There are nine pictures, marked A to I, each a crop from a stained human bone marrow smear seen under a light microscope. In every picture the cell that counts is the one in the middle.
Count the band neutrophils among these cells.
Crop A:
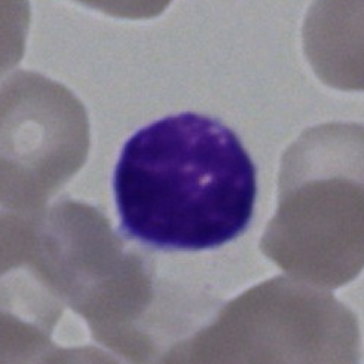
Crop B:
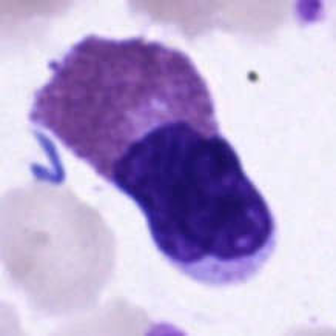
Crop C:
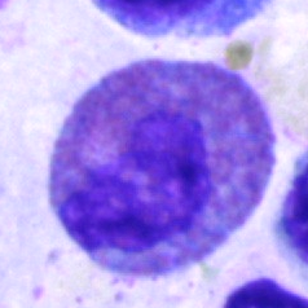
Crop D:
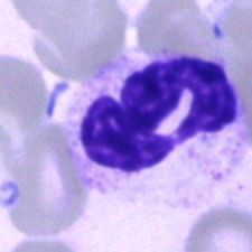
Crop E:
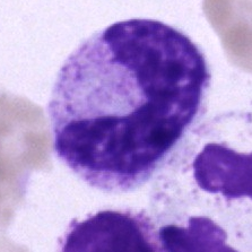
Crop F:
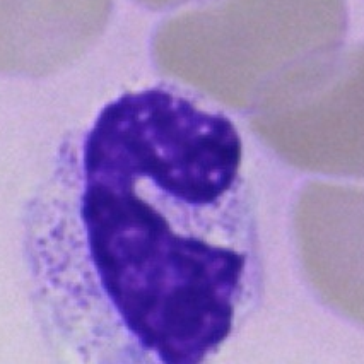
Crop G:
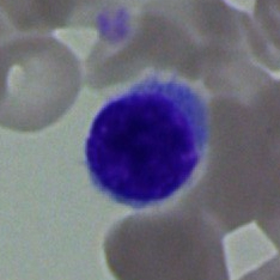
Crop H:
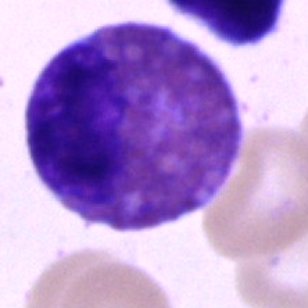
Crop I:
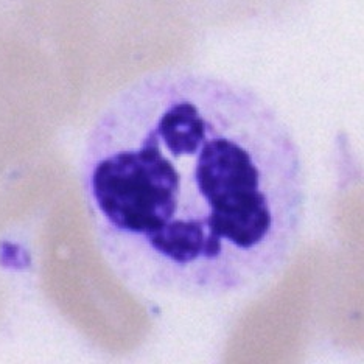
2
